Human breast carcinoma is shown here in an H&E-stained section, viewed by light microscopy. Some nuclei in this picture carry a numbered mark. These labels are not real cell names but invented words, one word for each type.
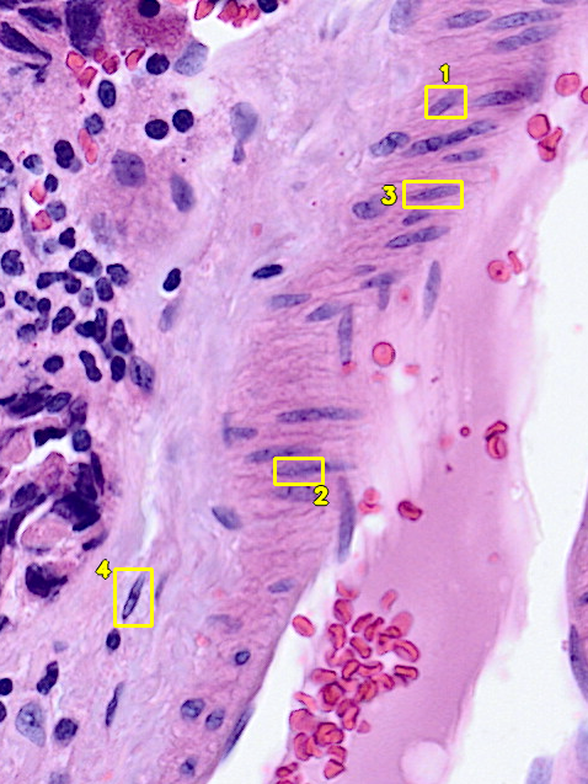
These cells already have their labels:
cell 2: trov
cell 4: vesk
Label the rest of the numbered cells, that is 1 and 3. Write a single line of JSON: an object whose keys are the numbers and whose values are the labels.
{"1": "trov", "3": "trov"}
